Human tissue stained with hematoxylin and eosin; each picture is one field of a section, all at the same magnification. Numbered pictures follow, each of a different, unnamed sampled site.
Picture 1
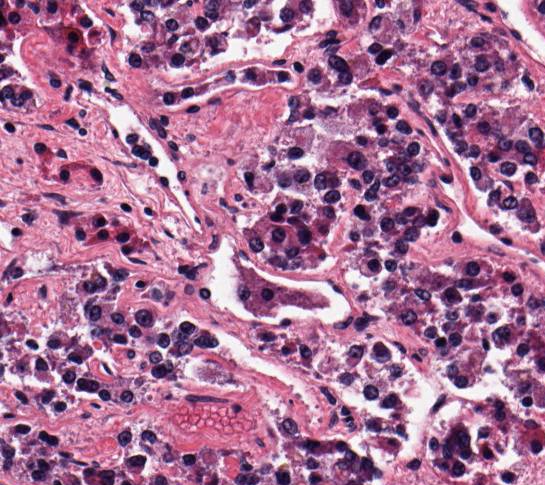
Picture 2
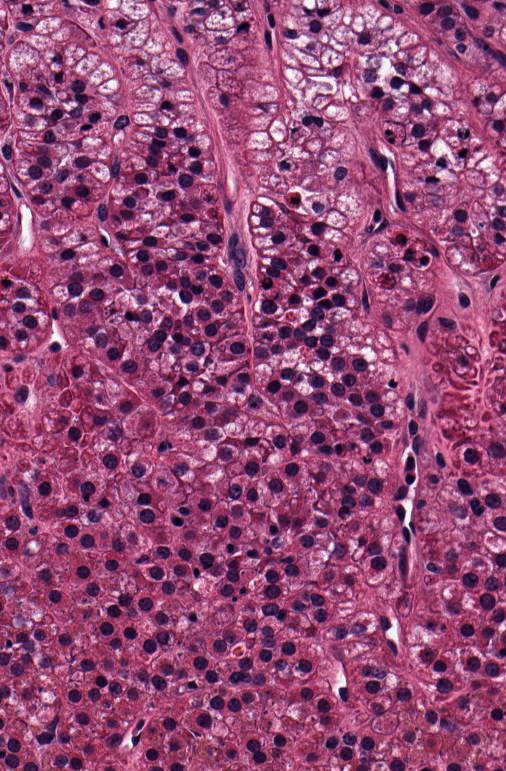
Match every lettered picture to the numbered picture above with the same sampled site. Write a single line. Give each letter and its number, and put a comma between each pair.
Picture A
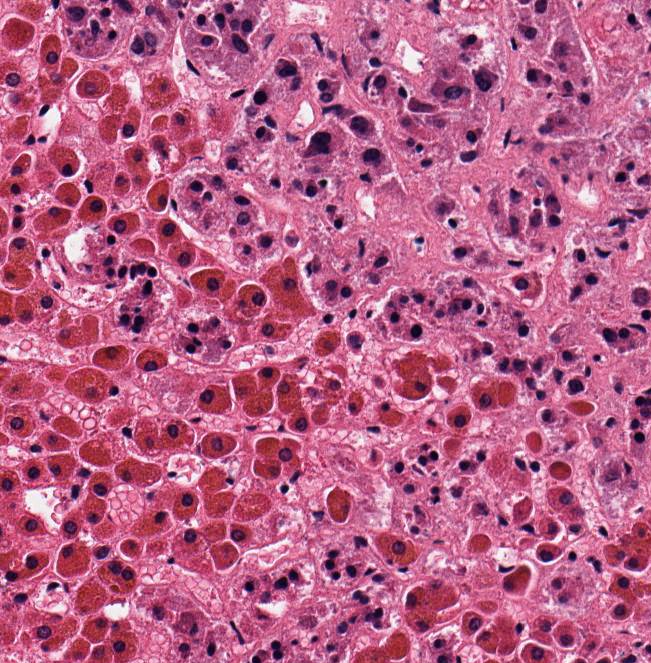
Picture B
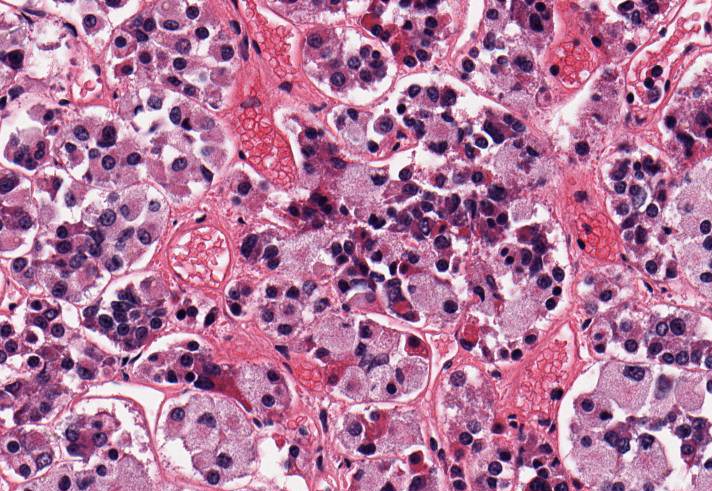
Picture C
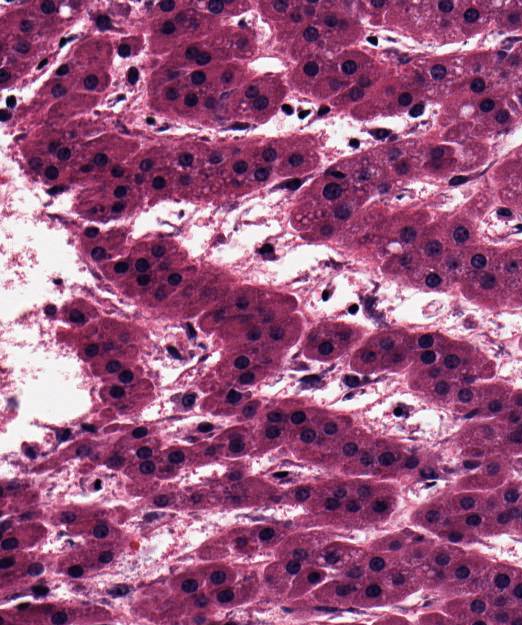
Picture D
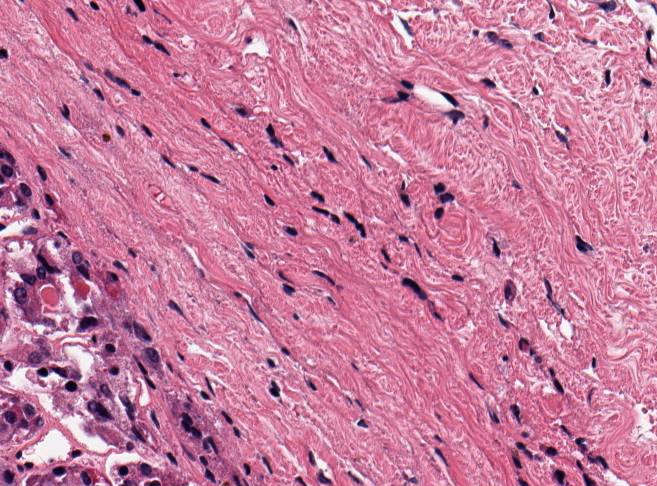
A 2, B 1, C 2, D 1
